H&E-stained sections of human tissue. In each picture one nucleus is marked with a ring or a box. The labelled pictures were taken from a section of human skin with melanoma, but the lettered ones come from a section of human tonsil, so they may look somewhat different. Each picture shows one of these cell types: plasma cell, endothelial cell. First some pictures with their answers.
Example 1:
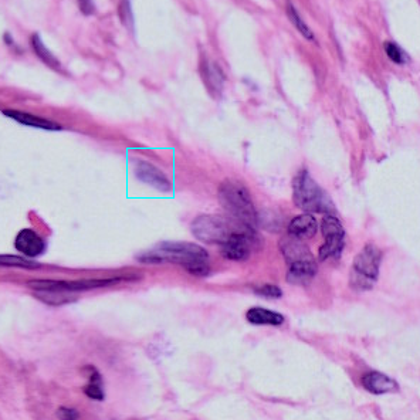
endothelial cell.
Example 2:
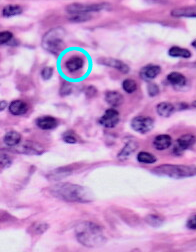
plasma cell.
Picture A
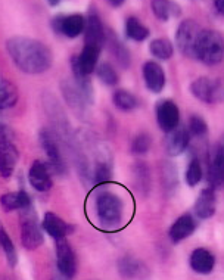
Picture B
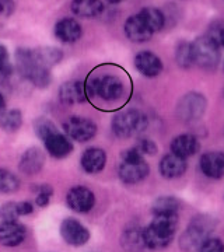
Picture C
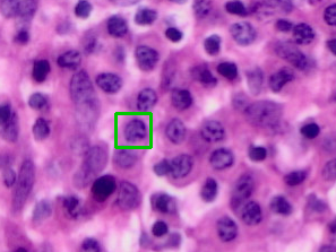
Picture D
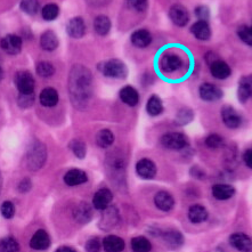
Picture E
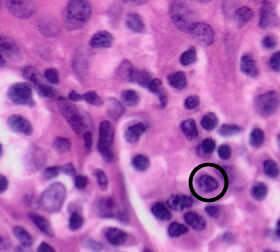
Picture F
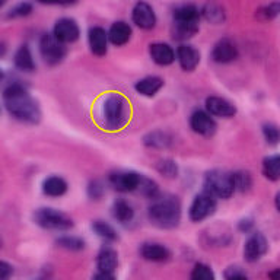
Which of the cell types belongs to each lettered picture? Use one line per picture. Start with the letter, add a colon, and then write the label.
A: endothelial cell.
B: plasma cell.
C: plasma cell.
D: plasma cell.
E: plasma cell.
F: endothelial cell.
